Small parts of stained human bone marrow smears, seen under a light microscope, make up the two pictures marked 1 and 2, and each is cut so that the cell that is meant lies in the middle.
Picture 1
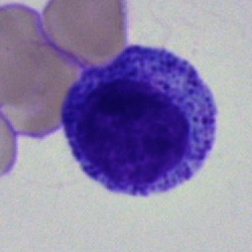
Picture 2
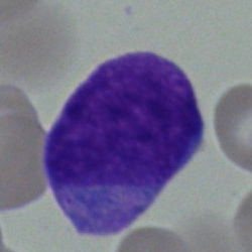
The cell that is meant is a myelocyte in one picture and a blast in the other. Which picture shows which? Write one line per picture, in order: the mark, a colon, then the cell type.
1: myelocyte
2: blast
